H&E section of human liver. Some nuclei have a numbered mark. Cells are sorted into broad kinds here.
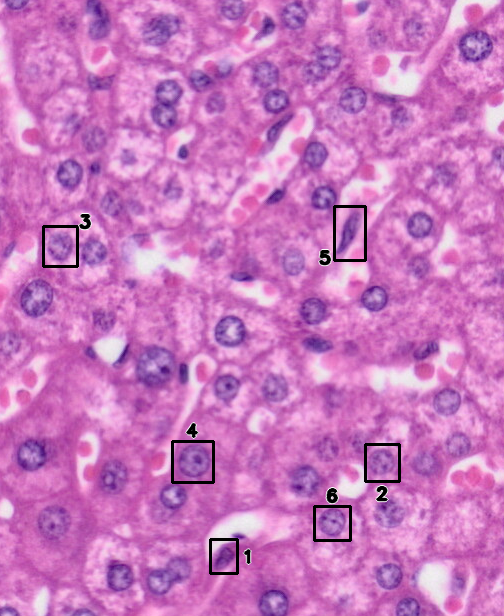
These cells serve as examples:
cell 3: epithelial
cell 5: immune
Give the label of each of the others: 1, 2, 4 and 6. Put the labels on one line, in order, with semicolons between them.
immune; epithelial; epithelial; epithelial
